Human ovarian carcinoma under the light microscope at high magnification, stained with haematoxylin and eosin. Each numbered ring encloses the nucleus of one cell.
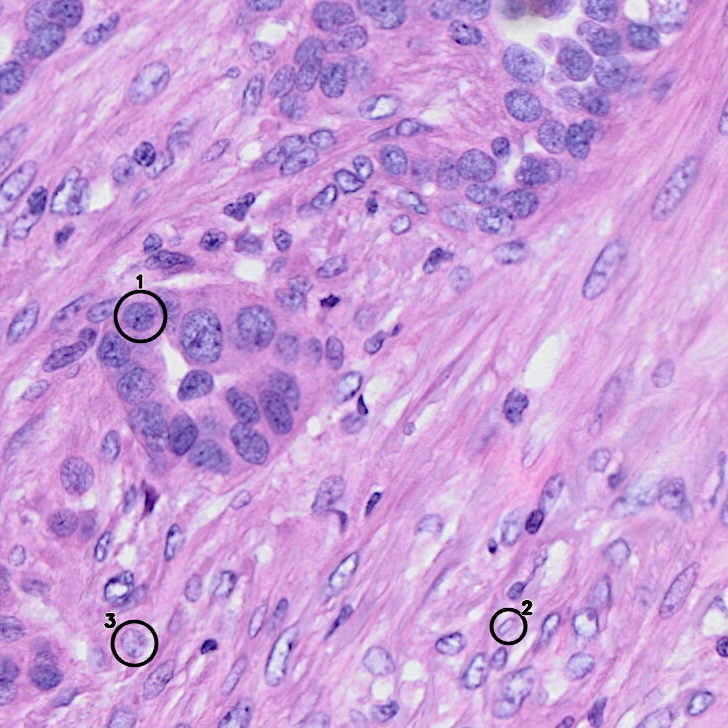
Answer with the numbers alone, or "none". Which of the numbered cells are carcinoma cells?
1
